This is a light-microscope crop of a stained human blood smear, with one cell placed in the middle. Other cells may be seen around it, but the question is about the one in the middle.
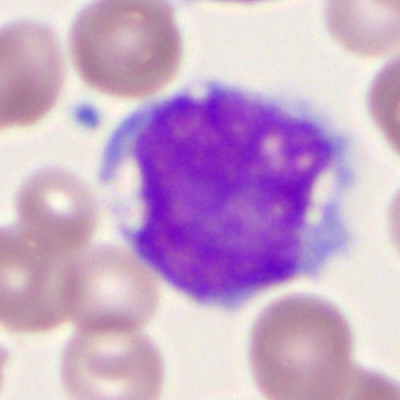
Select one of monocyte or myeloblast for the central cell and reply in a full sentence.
Here the cell in the middle is a monocyte.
